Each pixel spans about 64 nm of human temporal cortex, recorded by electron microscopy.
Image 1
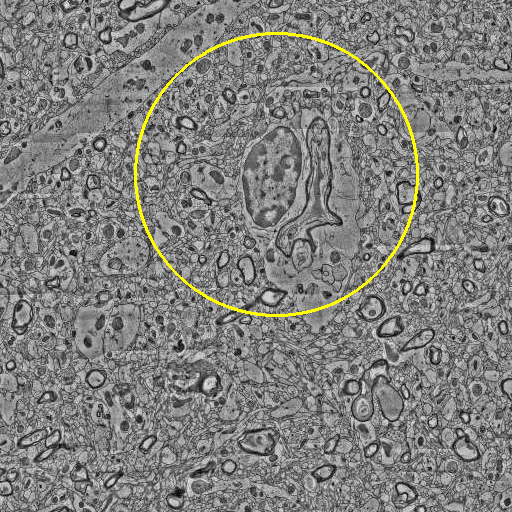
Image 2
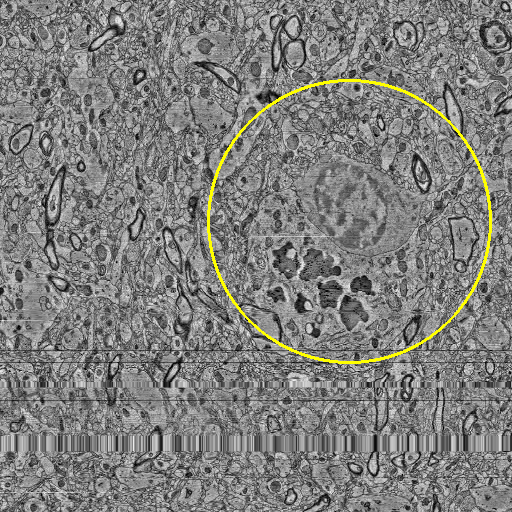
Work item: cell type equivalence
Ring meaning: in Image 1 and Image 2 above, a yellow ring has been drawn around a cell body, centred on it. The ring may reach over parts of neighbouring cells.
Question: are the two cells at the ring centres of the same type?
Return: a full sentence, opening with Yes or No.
No, the two centred cells are of two types.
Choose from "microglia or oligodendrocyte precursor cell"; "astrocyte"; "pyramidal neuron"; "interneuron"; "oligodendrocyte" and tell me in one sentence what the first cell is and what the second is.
What the first ring is centred on is a microglial cell or oligodendrocyte precursor cell; what the second ring is centred on is an oligodendrocyte.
